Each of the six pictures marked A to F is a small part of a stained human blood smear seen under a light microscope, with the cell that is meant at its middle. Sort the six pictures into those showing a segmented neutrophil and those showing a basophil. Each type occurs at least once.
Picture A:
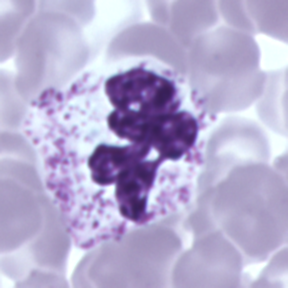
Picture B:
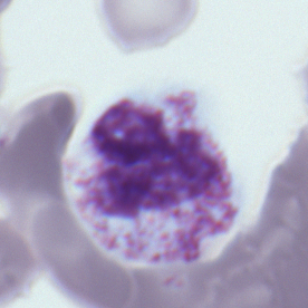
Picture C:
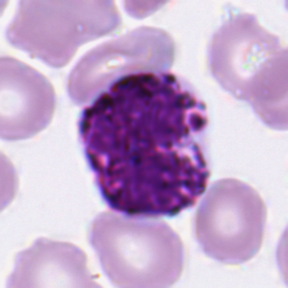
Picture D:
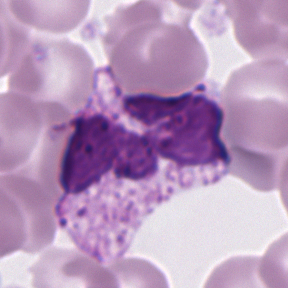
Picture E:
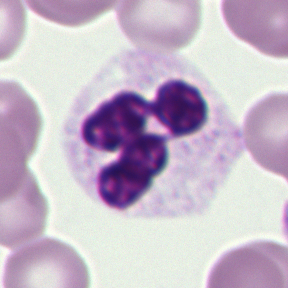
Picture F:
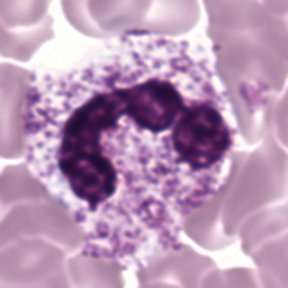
A: segmented neutrophil
B: basophil
C: basophil
D: basophil
E: segmented neutrophil
F: segmented neutrophil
